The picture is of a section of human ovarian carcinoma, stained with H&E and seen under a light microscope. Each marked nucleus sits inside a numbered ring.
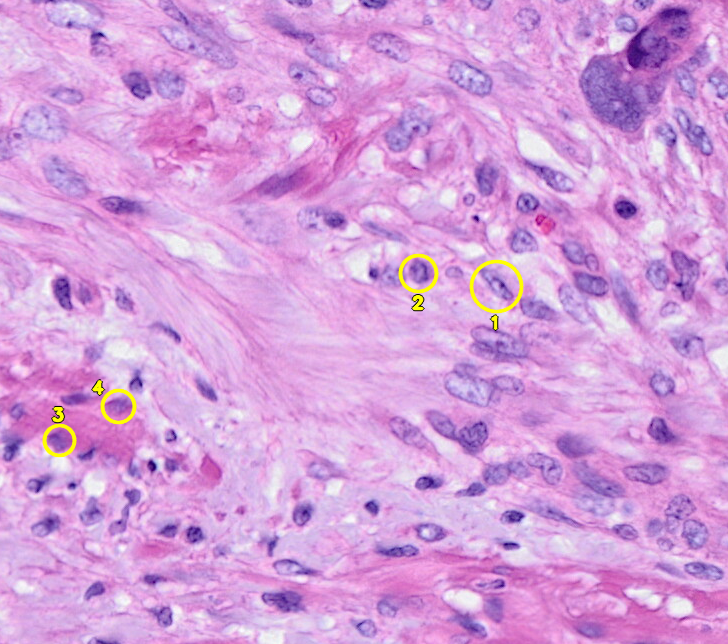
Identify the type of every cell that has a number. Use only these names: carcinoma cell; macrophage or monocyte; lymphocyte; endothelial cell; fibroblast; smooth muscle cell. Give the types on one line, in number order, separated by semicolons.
fibroblast; macrophage or monocyte; smooth muscle cell; smooth muscle cell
